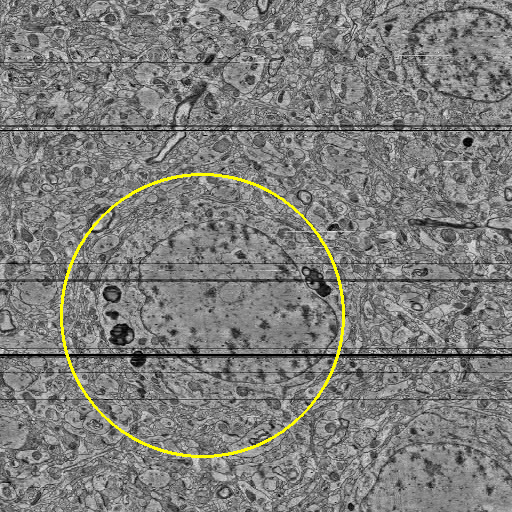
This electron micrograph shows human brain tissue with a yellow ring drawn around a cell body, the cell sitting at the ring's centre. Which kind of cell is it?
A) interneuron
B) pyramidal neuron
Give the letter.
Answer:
B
